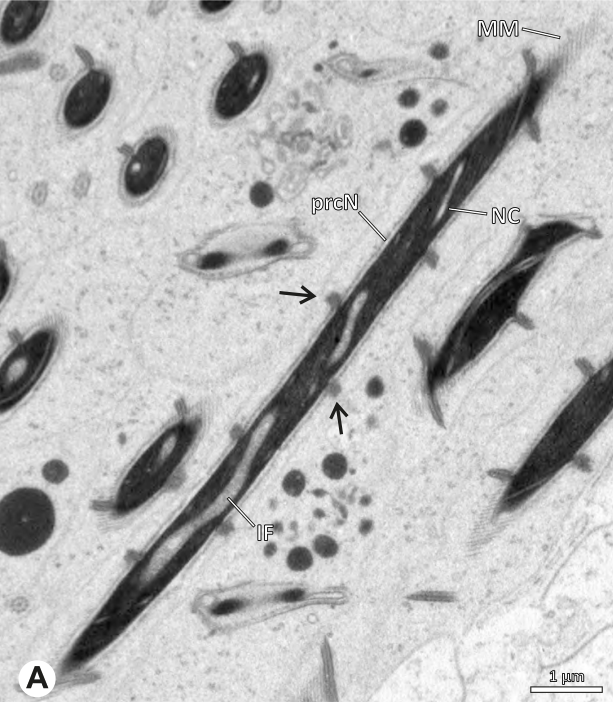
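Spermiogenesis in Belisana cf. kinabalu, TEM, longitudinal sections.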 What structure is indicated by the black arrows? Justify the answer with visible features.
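Small dark projections stud the surface of the long, dense nucleus at intervals. The projections recur along both sides of the elongated profile.
Answer: helical band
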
